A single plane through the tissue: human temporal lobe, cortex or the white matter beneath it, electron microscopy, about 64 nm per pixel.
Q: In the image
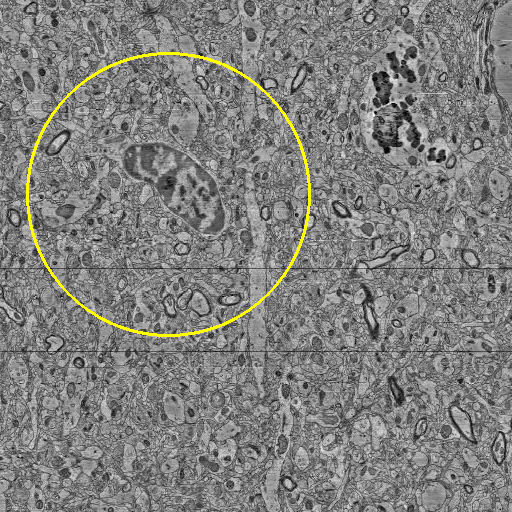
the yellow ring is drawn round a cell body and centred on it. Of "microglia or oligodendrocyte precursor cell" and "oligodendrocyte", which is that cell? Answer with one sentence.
The cell centred in the ring is a microglial cell or oligodendrocyte precursor cell.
